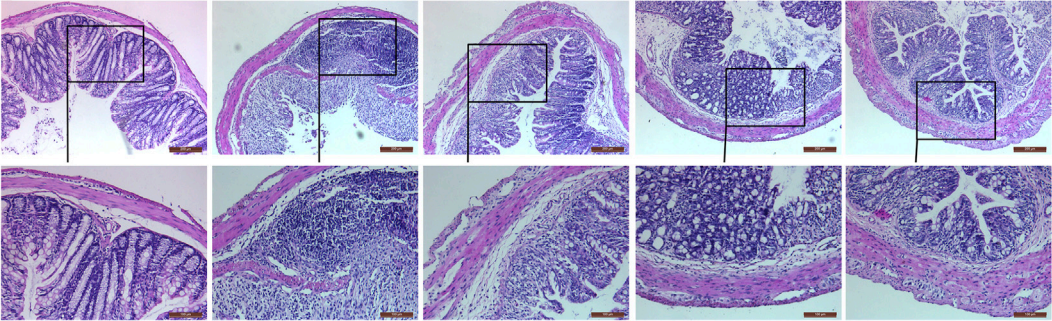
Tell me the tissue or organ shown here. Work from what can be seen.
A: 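Colonic tissue. Mucosa made of many parallel tubular glands (crypts) lined by goblet-rich columnar epithelium. No villi; a flat mucosal surface lies over the crypts. A smooth muscle wall (muscularis) runs beneath the mucosa.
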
